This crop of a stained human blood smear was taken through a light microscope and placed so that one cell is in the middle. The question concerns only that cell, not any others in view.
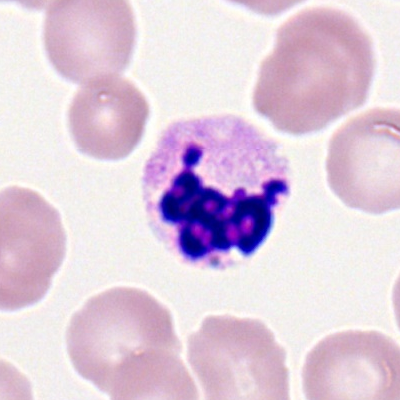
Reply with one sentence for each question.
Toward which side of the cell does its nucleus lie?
The nucleus sits off-centre, toward the bottom.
